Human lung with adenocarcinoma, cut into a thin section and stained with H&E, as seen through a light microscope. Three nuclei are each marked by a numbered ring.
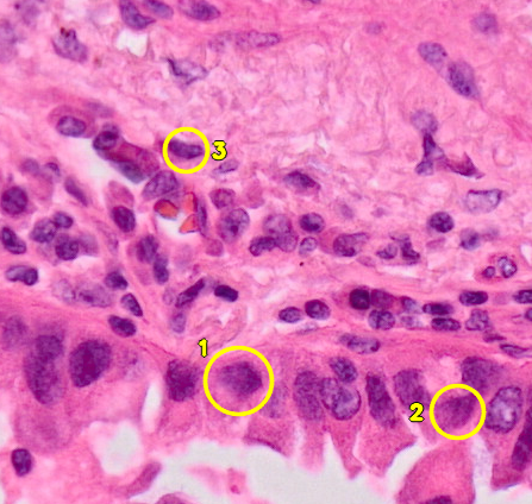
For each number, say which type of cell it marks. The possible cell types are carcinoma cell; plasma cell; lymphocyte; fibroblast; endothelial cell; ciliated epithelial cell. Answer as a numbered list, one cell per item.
1. carcinoma cell
2. carcinoma cell
3. plasma cell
